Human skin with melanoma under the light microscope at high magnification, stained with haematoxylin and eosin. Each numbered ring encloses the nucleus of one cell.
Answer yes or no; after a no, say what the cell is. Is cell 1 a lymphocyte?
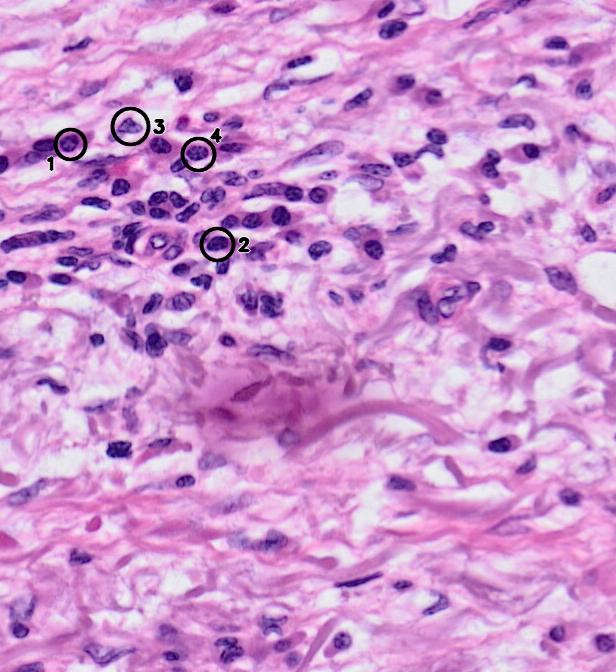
No, it is a plasma cell.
